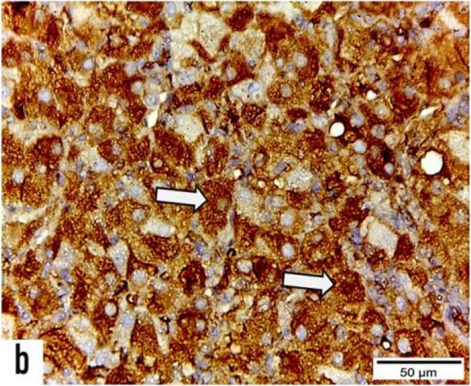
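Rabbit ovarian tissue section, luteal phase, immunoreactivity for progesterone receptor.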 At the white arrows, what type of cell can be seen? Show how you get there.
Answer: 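Large polygonal cells packed closely together. Abundant granular cytoplasm stained brown. Round nuclei counterstained blue. The answer: granulosa lutein cells.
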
